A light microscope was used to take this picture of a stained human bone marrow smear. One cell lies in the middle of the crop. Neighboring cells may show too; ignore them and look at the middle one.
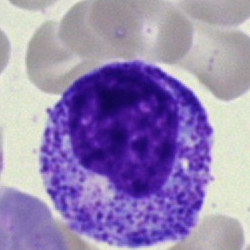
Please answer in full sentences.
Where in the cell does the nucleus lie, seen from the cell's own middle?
The nucleus sits off-centre, toward the top.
